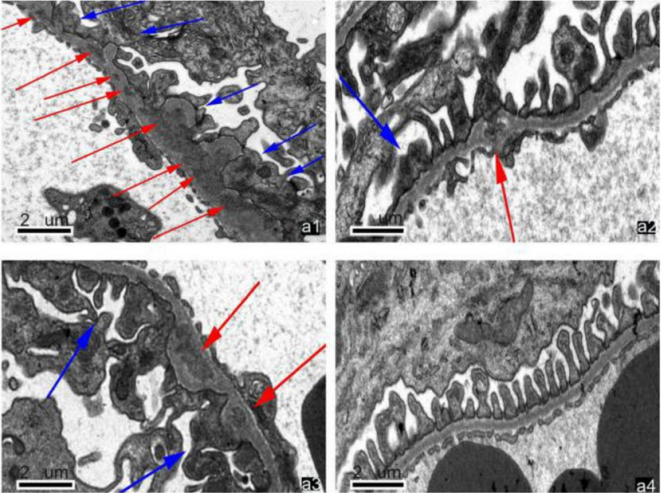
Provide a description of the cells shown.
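These four electron micrographs show the glomerular capillary wall: the basement membrane as a grey band, with podocyte cytoplasm on its outer side and the capillary lumen on the other. In the upper left image the wall is thick and irregular, and dark, dense material lies along the outer side of the membrane. The podocyte cytoplasm covering it there is spread out as broad sheets, without separate foot processes. In the lower right image the basement membrane is thin and even. Many small, regularly spaced foot processes rest on it like a row of teeth. The upper right and lower left images fall between these two: the foot processes are partly preserved, and the membrane is less thickened.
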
